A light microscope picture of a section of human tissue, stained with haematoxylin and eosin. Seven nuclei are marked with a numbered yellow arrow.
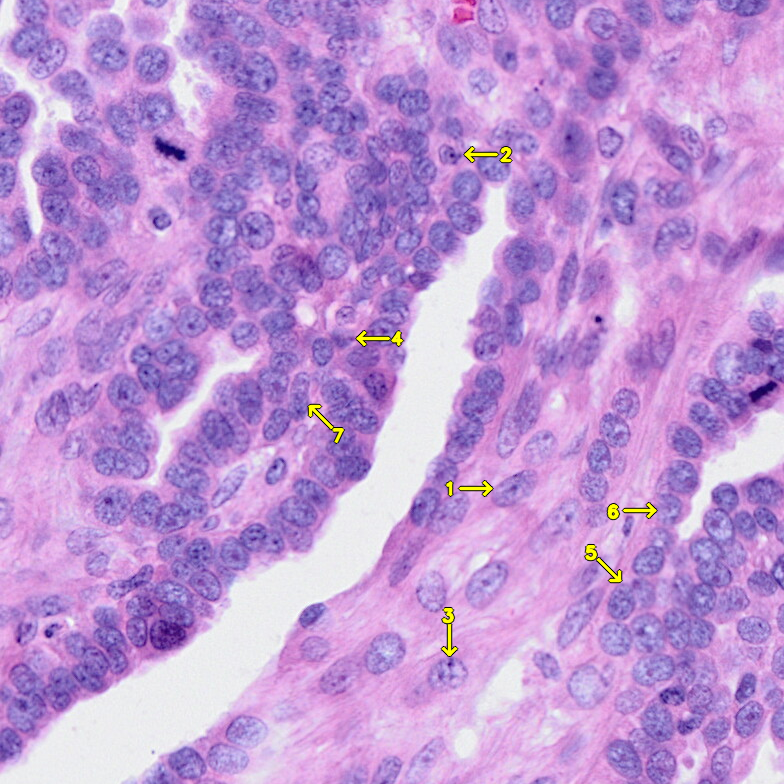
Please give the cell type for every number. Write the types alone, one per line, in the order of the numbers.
fibroblast
macrophage or monocyte
fibroblast
carcinoma cell
carcinoma cell
carcinoma cell
carcinoma cell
